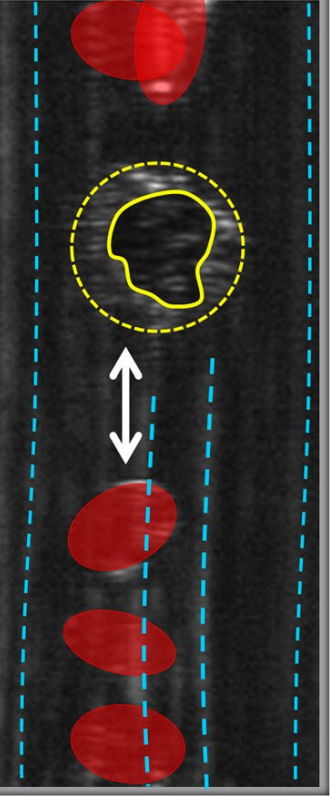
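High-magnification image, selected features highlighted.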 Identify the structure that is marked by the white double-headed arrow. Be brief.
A: plasma gap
